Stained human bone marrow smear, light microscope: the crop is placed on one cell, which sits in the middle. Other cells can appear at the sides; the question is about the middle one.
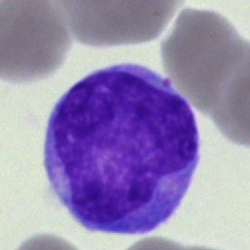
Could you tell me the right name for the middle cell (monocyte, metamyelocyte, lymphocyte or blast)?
monocyte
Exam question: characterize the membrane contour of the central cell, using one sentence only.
Edge check done: smooth outline, no projections present.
